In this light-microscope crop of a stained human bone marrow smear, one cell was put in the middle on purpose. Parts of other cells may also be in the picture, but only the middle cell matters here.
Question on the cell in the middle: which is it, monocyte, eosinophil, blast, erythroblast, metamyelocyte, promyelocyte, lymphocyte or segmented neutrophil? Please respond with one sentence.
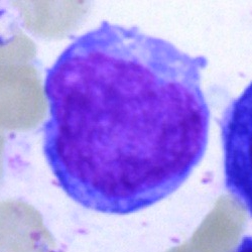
For this crop, the central cell is a blast.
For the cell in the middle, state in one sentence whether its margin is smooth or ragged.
An irregular outline, ragged or marked by projections, surrounds this cell.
